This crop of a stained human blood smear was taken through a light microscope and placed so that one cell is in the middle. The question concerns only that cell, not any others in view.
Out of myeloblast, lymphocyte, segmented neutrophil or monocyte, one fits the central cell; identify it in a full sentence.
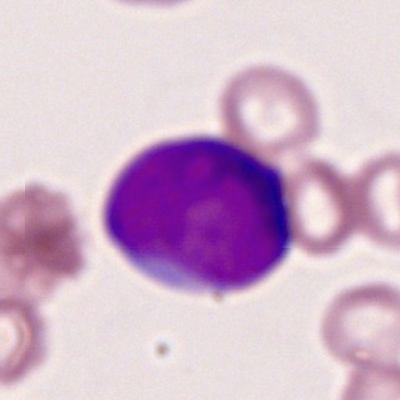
The middle of this crop holds a myeloblast.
